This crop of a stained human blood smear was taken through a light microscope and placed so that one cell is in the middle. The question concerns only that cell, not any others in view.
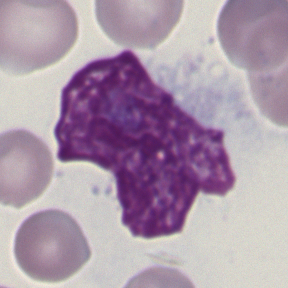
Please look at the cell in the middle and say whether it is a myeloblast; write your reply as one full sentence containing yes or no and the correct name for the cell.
Yes, the cell sitting in the center is a myeloblast.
